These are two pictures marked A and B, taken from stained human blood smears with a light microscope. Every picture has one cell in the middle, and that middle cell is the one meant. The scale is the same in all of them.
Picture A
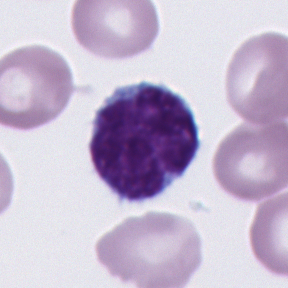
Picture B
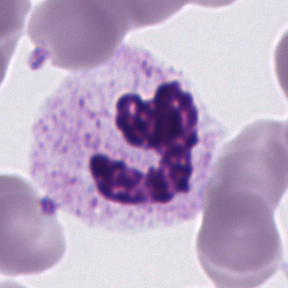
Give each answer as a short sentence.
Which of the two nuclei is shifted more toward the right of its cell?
In picture B the nucleus is shifted more toward the right.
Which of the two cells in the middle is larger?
Larger is the cell in picture B, at roughly 2.5 times the area of the other.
